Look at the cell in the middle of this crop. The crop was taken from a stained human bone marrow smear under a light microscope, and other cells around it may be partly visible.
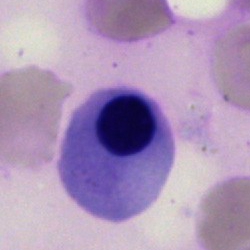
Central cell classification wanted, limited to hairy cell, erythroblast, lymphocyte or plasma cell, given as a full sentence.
The cell in the middle of this crop is an erythroblast.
